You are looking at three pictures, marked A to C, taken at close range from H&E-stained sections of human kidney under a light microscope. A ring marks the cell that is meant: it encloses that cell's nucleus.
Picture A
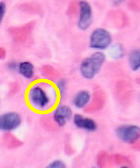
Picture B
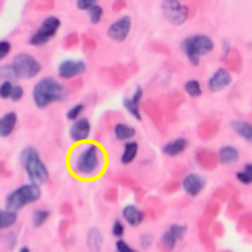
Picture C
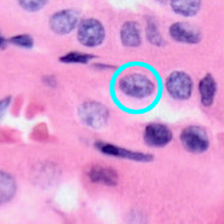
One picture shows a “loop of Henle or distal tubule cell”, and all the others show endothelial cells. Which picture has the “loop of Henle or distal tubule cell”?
C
